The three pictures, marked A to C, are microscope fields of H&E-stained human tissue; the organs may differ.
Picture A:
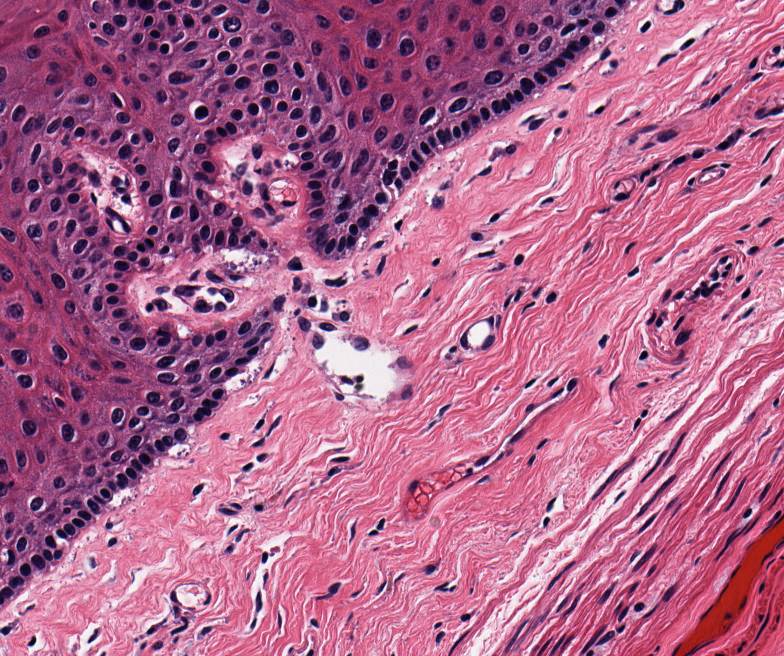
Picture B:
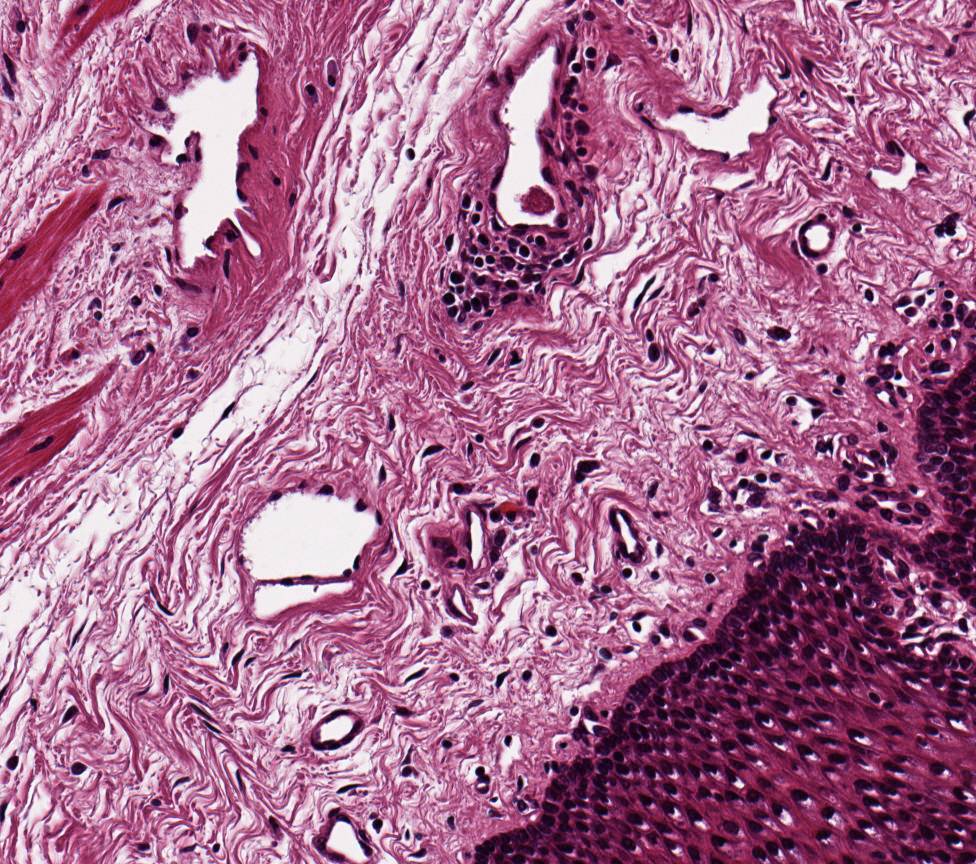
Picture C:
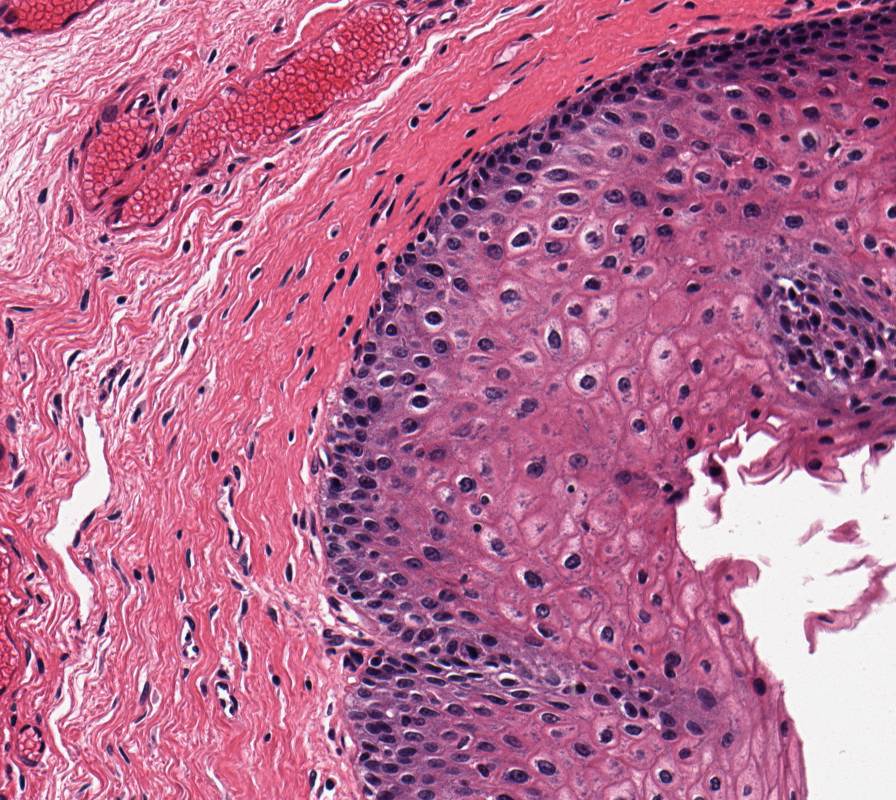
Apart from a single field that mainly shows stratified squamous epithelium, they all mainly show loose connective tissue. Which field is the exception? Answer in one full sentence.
Picture C is the field that mainly shows stratified squamous epithelium.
